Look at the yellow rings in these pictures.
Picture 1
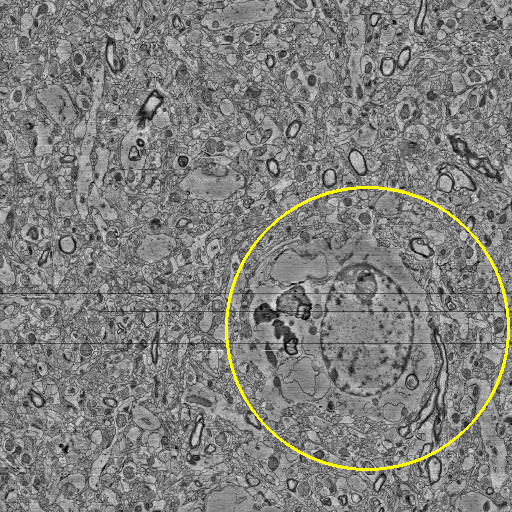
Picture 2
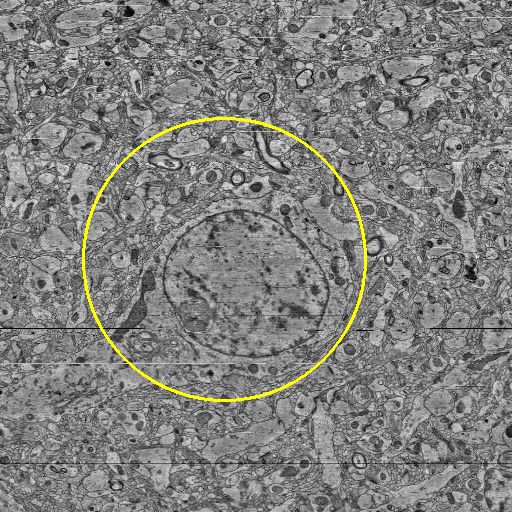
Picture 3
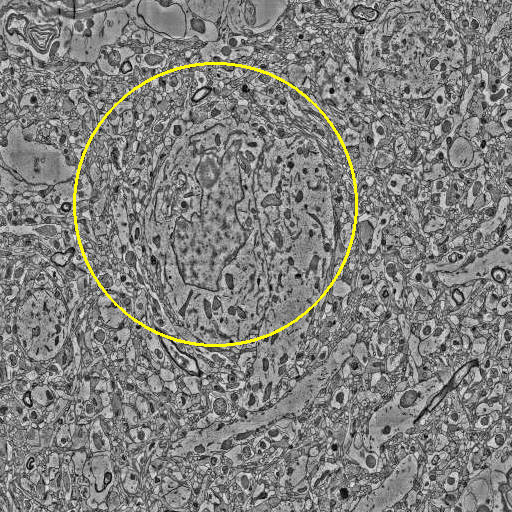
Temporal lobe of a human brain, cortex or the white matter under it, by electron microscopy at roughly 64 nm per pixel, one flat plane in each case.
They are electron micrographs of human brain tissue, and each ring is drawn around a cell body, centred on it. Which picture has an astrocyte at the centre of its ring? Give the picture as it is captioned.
Picture 1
